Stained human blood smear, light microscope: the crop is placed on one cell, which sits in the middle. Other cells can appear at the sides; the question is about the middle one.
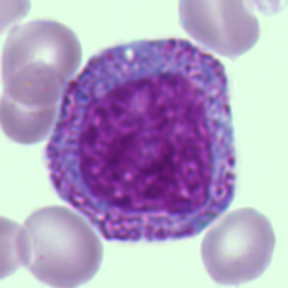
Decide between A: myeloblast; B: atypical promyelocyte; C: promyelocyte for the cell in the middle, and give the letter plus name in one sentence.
In the middle of the crop is a promyelocyte; option C is therefore correct.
